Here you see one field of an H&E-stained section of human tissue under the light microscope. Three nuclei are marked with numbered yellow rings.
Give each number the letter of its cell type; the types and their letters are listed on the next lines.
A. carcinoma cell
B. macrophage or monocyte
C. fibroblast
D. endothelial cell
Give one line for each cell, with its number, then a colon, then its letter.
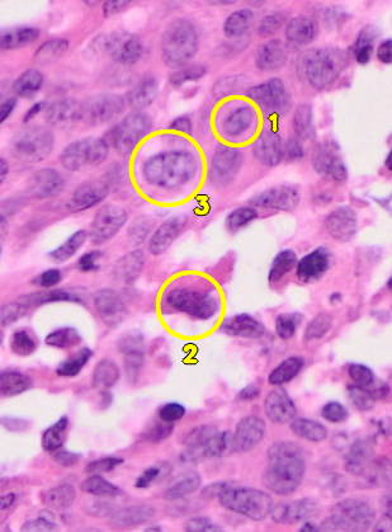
1: B
2: A
3: B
